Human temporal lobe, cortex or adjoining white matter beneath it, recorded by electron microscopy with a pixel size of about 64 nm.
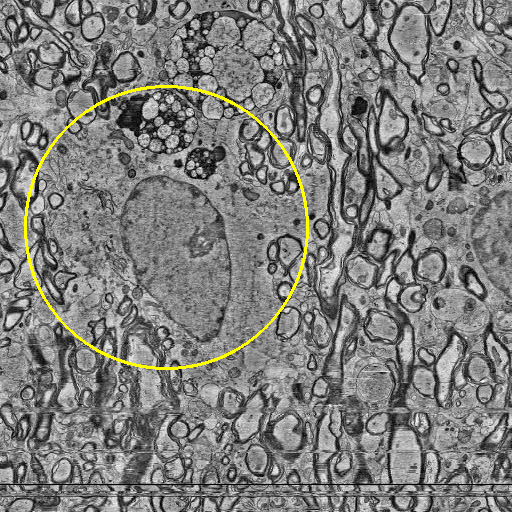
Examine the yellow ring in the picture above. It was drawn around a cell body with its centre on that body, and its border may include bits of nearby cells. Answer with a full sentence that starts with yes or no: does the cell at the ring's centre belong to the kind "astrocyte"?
Yes, the cell at the heart of the ring shown in the image is of that kind.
